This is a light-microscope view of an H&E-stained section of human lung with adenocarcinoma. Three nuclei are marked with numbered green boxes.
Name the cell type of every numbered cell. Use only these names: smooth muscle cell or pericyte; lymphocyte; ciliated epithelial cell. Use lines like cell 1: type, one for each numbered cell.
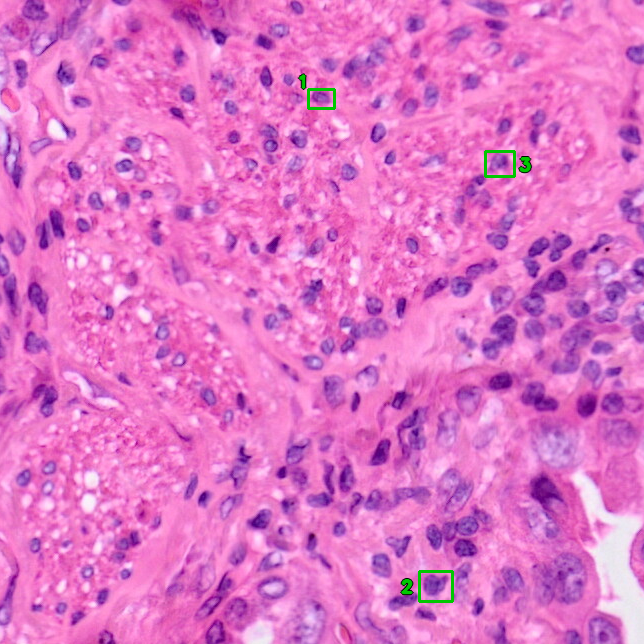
cell 1: smooth muscle cell or pericyte
cell 2: lymphocyte
cell 3: smooth muscle cell or pericyte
